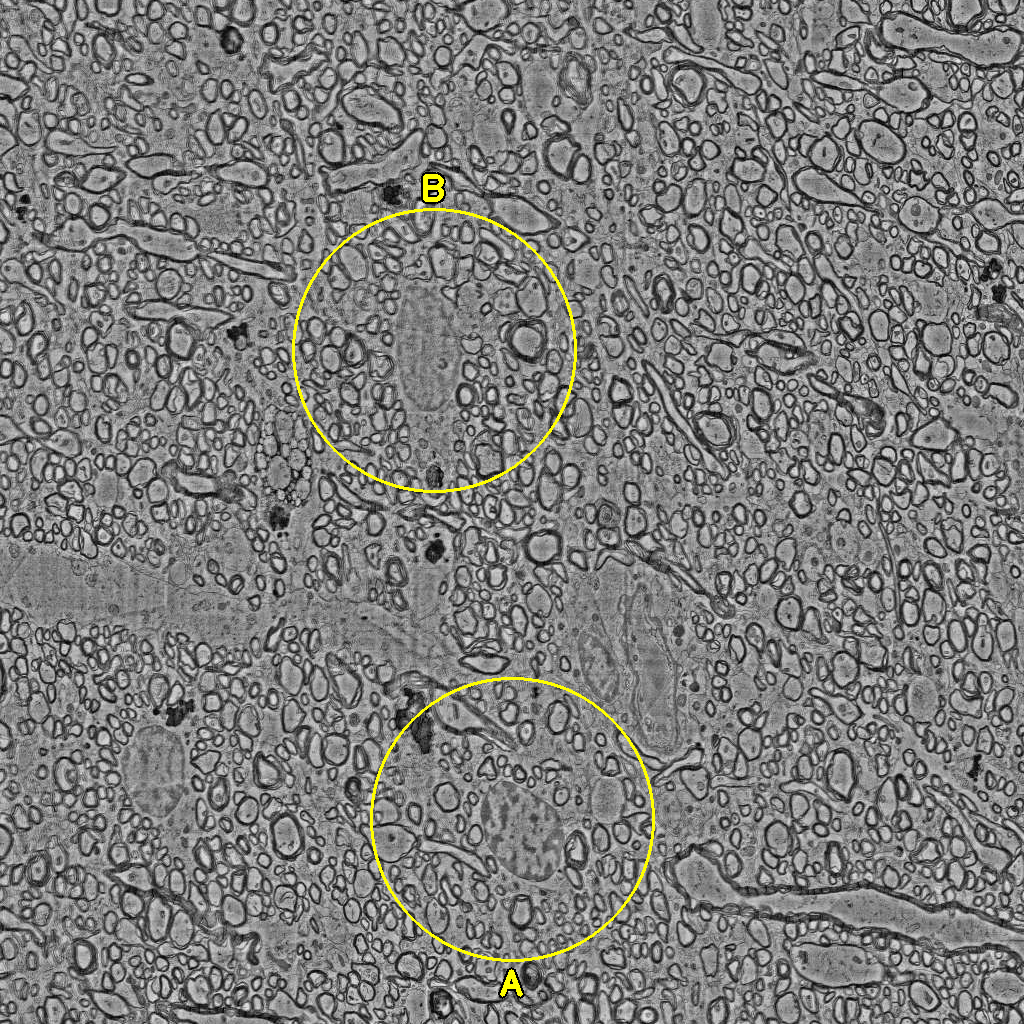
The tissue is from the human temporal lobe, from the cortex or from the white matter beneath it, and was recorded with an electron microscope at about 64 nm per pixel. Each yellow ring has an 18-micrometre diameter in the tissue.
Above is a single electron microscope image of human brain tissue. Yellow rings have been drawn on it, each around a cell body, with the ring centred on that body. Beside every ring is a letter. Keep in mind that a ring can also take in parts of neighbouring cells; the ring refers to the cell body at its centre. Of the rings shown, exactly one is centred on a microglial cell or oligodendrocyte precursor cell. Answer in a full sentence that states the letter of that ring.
The cell at the centre of ring A is the one asked for.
